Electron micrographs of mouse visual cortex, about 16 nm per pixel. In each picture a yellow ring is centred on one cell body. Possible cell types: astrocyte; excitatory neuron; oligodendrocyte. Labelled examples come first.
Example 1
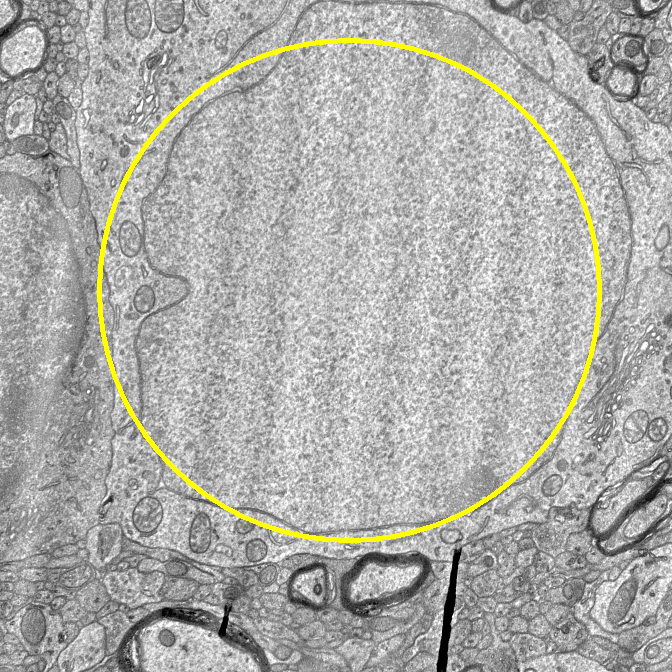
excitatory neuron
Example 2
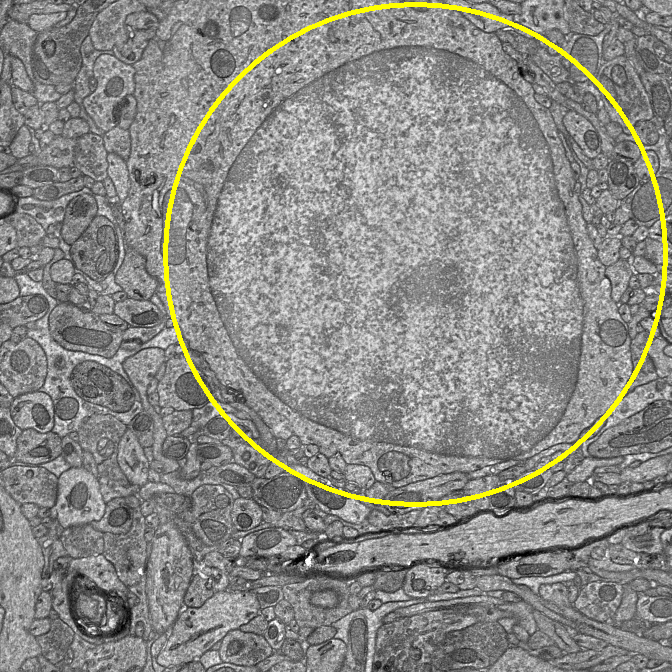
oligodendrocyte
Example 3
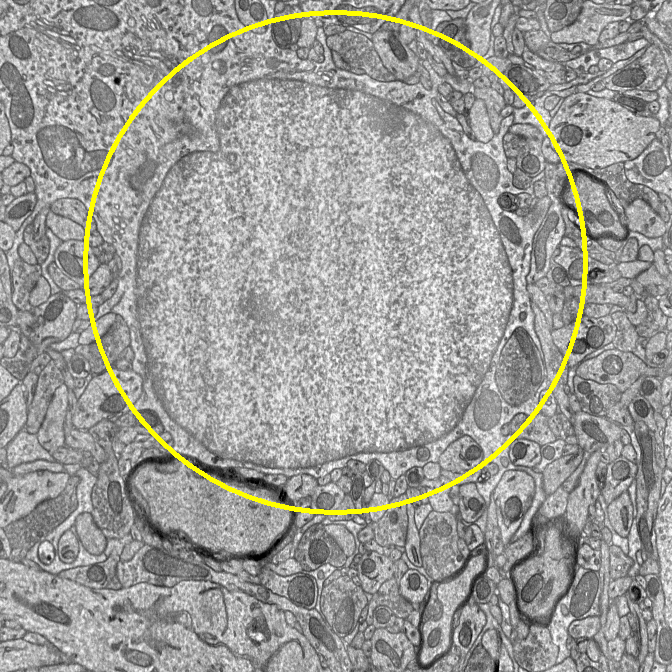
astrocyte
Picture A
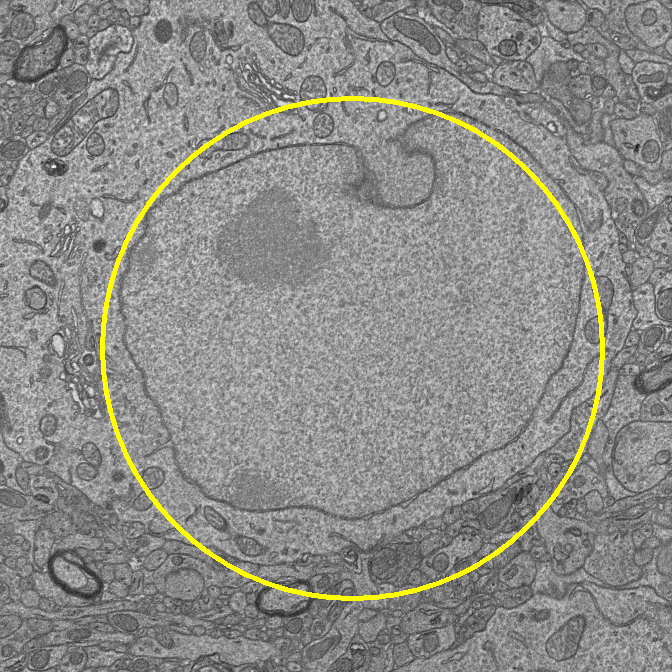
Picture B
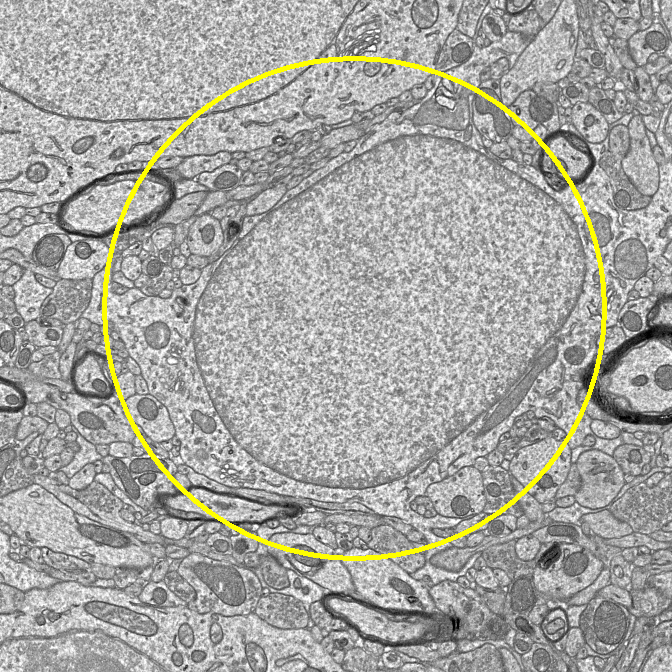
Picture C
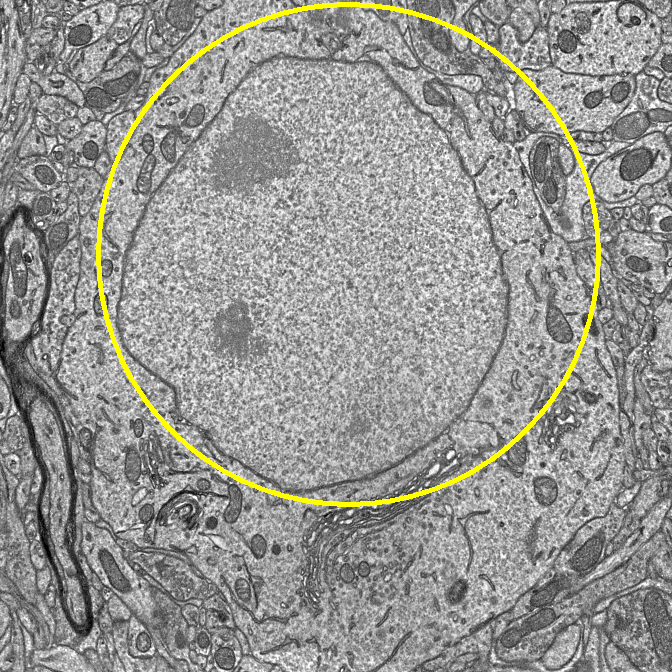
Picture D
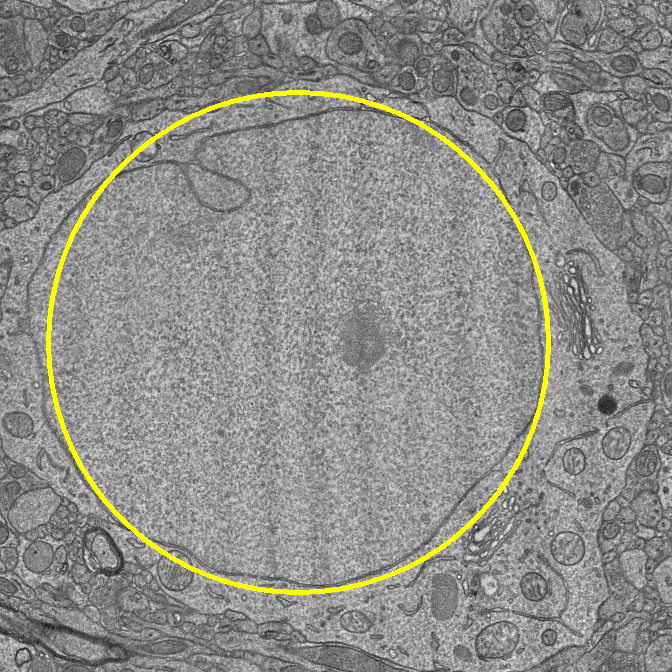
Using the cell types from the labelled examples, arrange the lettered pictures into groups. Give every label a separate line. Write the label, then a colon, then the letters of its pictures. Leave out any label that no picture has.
astrocyte: B
excitatory neuron: A, C, D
